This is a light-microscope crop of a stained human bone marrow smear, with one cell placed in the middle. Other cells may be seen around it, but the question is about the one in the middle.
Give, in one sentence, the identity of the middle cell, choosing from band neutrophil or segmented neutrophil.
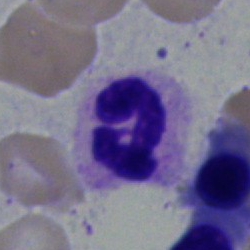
At the crop's centre, the cell is a segmented neutrophil.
